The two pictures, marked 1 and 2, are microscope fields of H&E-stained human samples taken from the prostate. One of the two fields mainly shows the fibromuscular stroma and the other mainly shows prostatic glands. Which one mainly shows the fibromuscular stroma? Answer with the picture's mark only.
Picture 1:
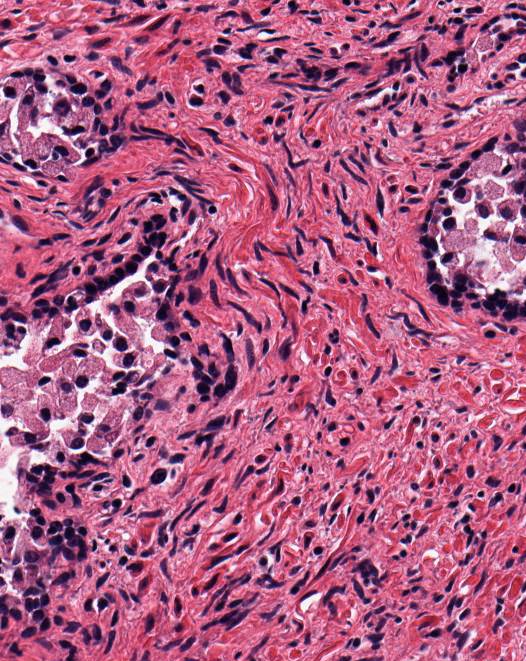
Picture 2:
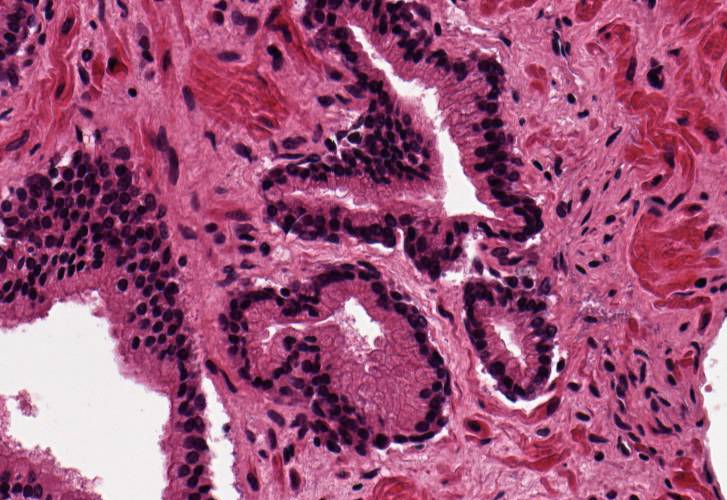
1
